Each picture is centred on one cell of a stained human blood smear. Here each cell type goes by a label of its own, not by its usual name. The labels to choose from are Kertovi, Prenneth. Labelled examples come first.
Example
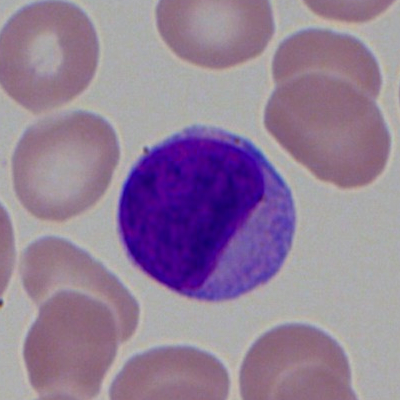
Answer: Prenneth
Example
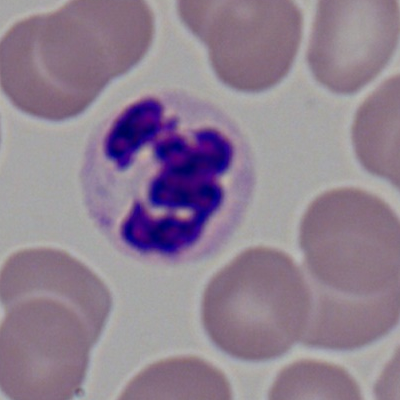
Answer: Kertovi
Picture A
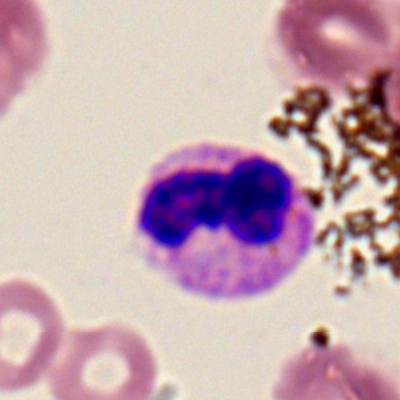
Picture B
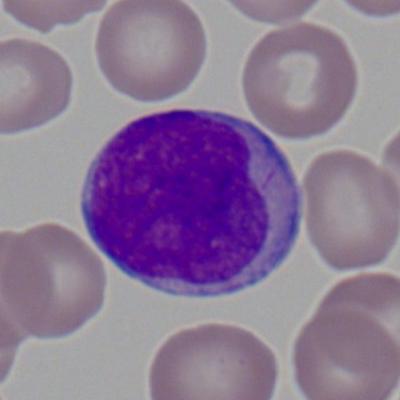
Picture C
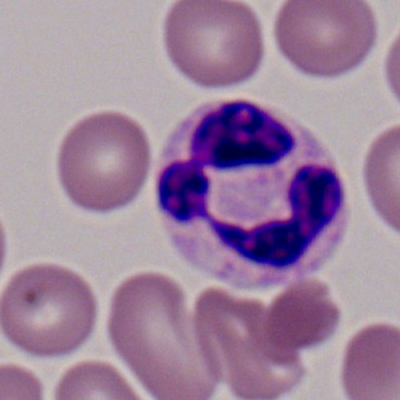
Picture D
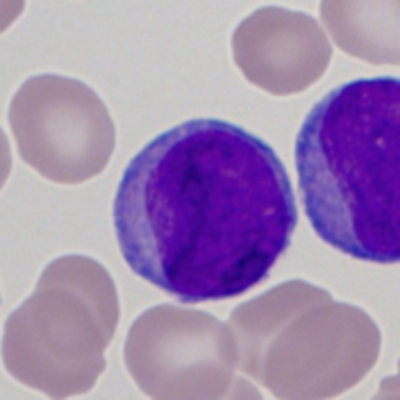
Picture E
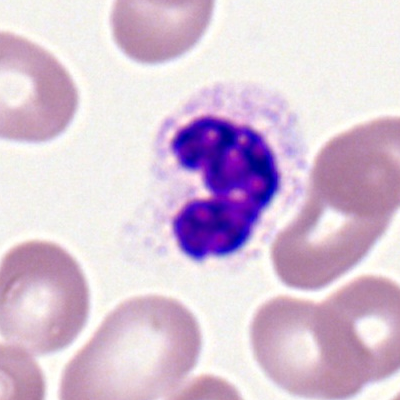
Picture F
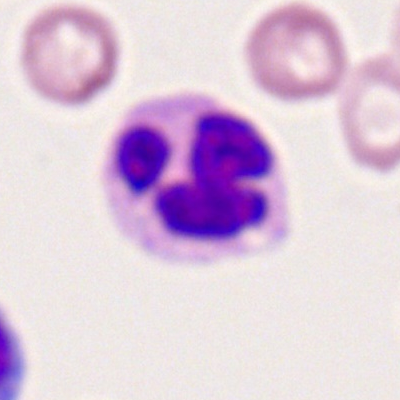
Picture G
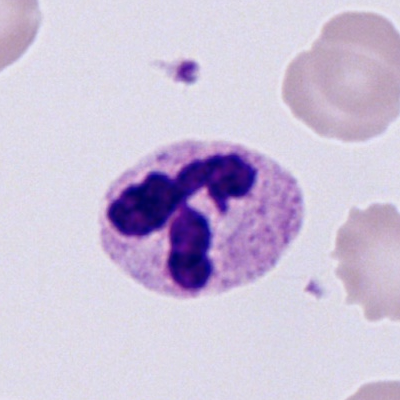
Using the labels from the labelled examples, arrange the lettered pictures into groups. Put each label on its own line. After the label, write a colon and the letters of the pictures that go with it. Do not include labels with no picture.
Kertovi: A, C, E, F, G
Prenneth: B, D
